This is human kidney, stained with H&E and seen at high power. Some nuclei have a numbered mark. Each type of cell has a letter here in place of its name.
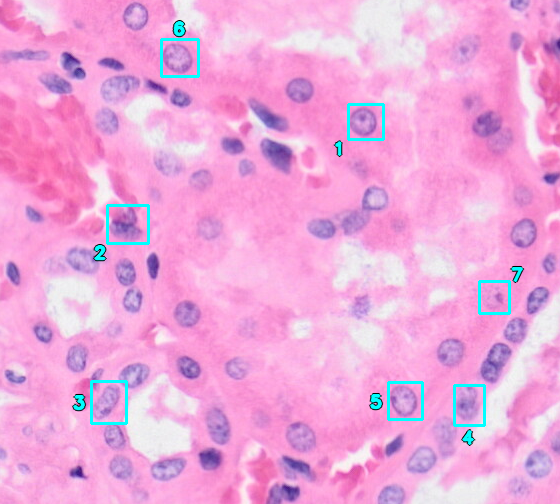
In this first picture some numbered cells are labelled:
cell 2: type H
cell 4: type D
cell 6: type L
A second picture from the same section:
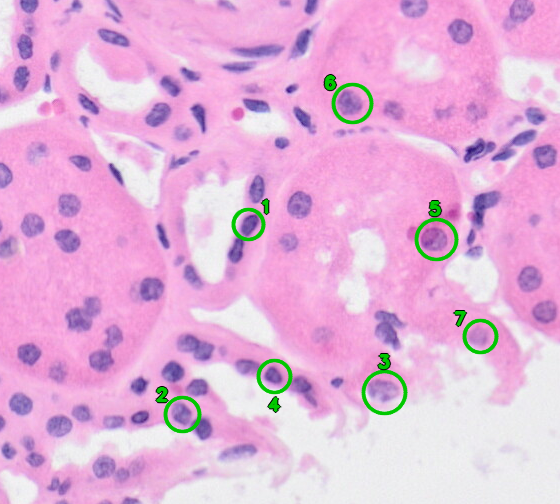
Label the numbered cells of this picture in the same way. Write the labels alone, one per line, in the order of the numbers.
type D
type D
type L
type D
type L
type L
type L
